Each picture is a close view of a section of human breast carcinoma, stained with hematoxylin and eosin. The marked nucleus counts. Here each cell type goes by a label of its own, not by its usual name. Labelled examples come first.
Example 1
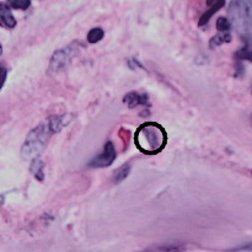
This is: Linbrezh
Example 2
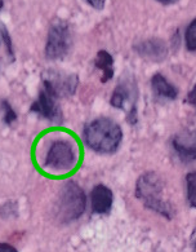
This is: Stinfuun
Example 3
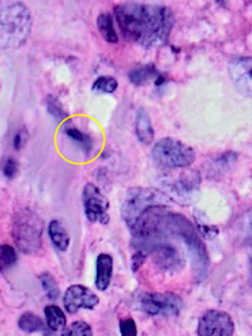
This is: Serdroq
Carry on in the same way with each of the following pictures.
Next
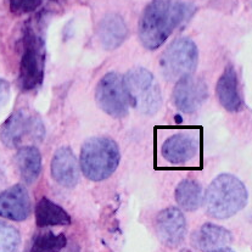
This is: Stinfuun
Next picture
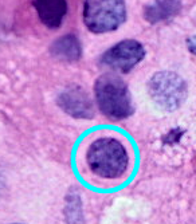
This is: Stinfuun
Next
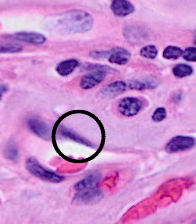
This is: Linbrezh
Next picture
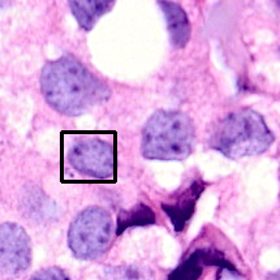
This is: Stinfuun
